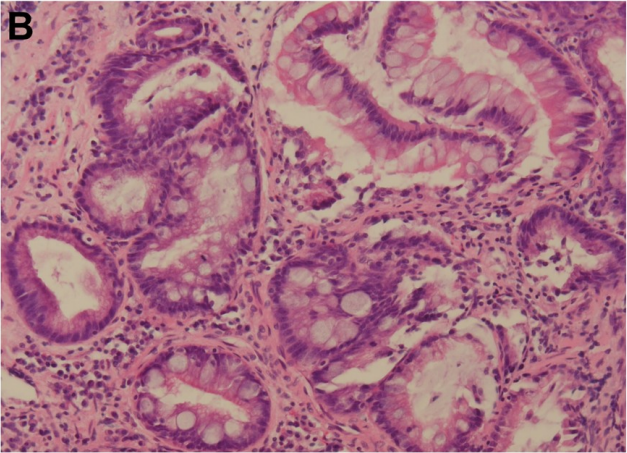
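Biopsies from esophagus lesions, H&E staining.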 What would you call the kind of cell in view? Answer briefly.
Intestinal type goblet cells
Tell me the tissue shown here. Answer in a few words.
Barrett’s mucosa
